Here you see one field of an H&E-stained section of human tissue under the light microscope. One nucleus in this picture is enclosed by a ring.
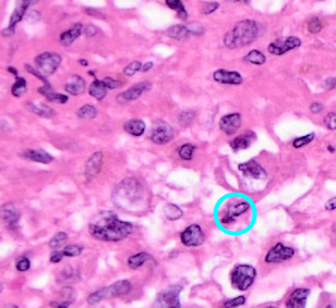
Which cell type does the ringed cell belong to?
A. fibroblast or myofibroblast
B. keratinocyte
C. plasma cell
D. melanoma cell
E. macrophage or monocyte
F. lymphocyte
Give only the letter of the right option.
E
